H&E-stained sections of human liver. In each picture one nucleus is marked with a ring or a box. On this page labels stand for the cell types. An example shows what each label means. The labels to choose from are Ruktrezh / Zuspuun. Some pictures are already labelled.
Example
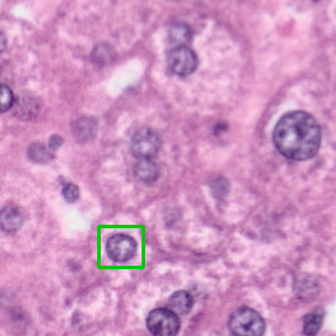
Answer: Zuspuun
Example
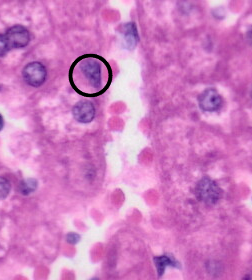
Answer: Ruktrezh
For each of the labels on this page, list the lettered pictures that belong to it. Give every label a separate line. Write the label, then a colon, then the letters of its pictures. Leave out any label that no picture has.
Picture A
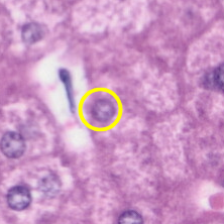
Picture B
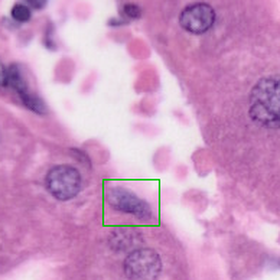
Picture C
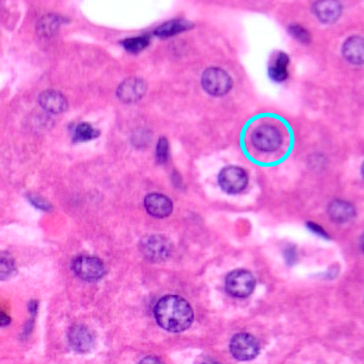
Ruktrezh: B
Zuspuun: A, C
